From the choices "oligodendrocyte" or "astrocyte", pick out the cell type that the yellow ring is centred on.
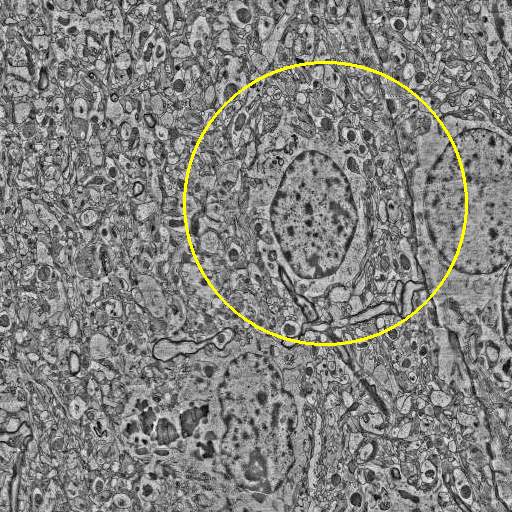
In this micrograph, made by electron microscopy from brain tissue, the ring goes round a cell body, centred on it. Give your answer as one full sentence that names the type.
The yellow ring is centred on an astrocyte, whose cell body it encircles in the picture.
